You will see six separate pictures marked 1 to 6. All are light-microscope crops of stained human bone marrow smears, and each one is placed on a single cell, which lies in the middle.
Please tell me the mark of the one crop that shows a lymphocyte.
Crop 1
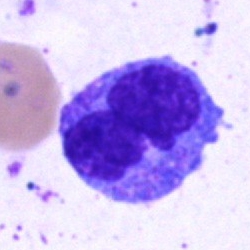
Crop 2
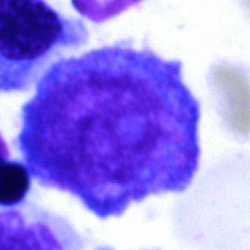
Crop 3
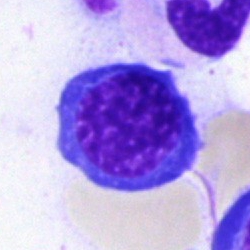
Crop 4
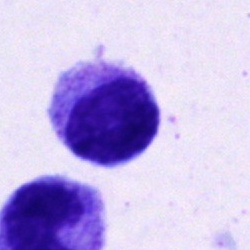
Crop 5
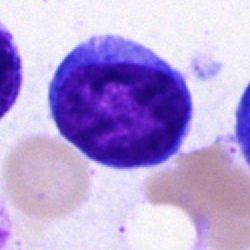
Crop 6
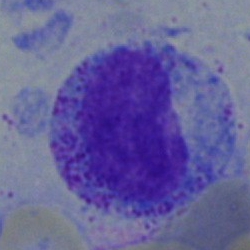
4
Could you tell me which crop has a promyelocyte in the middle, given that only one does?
2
